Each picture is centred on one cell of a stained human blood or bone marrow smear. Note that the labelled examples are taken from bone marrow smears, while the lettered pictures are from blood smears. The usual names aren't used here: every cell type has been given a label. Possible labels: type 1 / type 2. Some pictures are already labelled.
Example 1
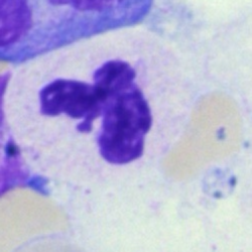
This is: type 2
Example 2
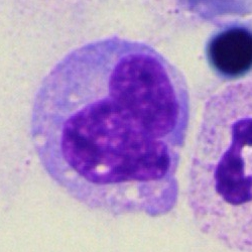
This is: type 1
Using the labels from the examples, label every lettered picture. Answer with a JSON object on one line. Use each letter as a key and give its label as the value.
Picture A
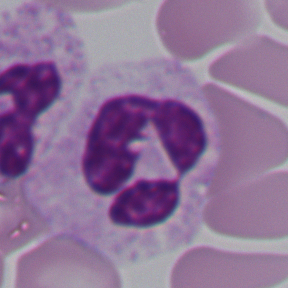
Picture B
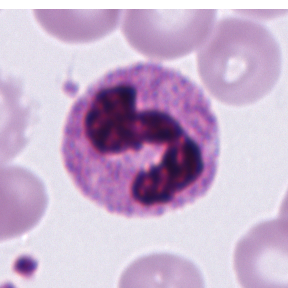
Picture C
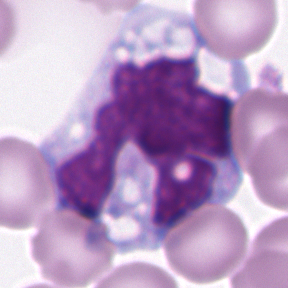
{"A": "type 2", "B": "type 2", "C": "type 1"}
